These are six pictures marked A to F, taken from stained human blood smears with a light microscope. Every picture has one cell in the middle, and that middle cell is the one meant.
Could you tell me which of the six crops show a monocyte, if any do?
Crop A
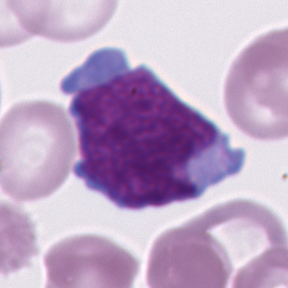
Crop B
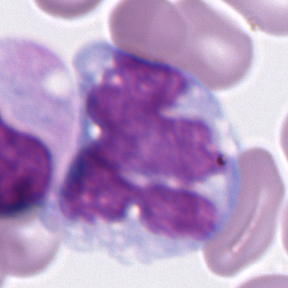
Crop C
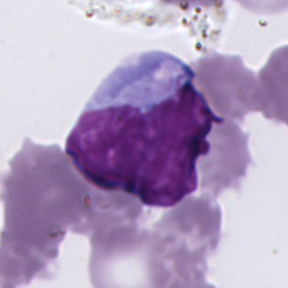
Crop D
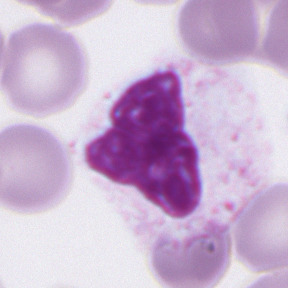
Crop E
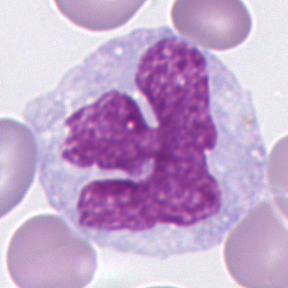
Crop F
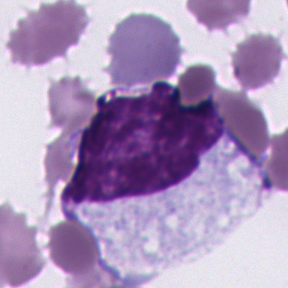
B, E, F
